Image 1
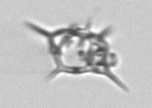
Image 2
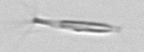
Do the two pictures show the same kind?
No: a silicoflagellate, then Calciosolenia.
